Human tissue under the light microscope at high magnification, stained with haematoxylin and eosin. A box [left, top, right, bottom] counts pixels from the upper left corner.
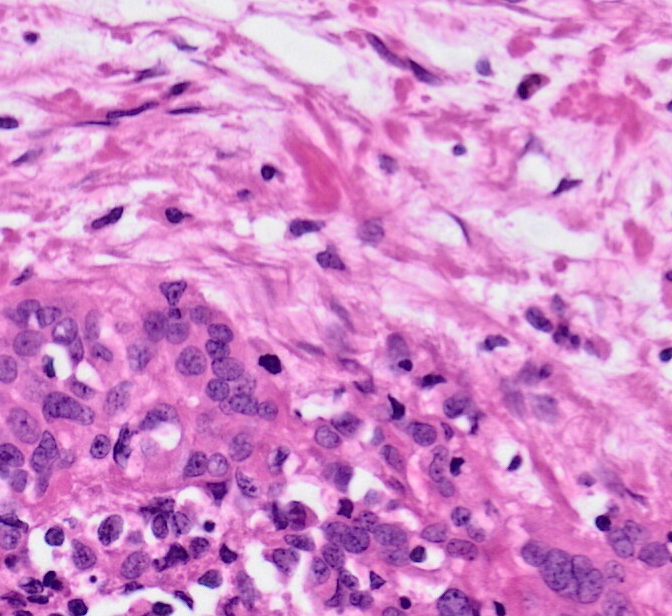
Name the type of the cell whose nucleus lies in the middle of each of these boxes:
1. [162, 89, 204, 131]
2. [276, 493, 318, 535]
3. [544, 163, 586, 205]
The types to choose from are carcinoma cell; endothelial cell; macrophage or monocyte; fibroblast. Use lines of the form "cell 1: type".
cell 1: fibroblast
cell 2: carcinoma cell
cell 3: fibroblast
